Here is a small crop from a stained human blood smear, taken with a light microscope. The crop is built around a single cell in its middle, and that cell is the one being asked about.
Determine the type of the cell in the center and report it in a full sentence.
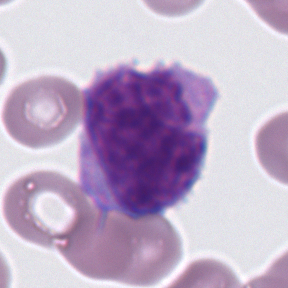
The cell at the heart of this crop is an atypical promyelocyte.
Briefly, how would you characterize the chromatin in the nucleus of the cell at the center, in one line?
The chromatin pattern here is coarse and clumped.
